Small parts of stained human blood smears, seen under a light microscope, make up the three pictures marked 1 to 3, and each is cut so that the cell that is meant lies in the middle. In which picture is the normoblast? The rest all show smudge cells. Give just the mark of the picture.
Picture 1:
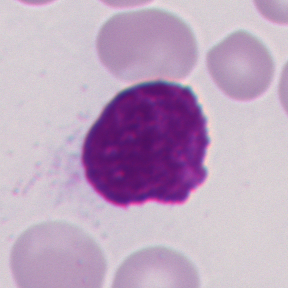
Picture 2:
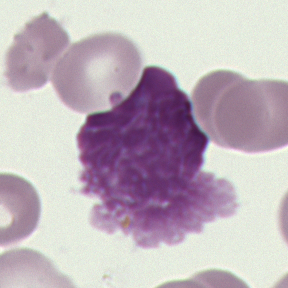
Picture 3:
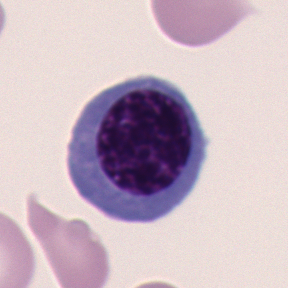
3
